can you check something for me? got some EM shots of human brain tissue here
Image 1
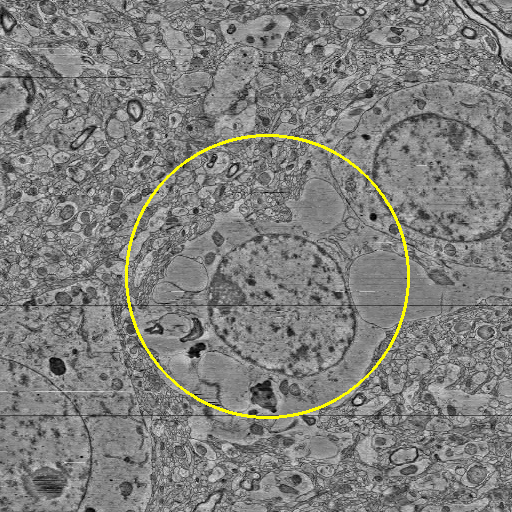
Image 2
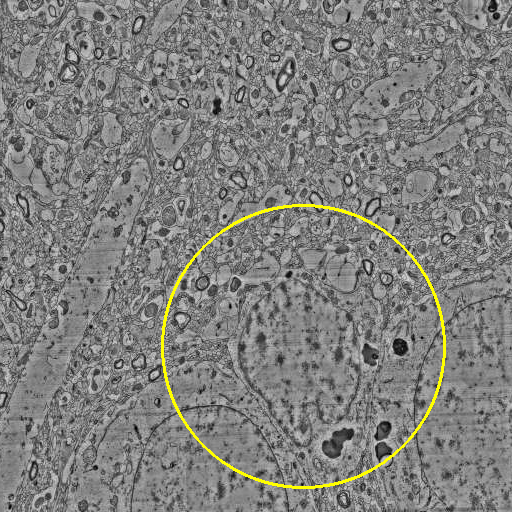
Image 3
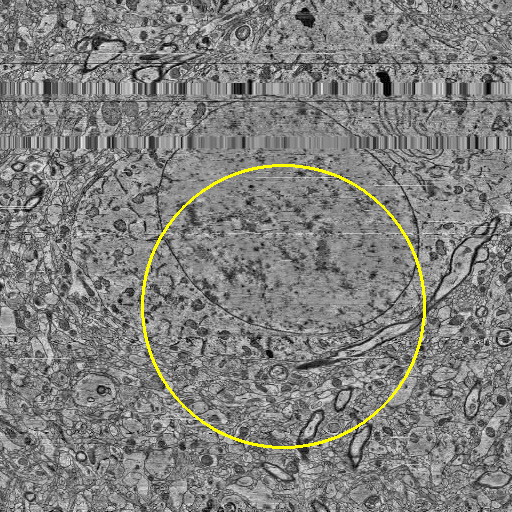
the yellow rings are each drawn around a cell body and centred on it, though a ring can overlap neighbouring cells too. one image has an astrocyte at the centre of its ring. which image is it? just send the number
1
